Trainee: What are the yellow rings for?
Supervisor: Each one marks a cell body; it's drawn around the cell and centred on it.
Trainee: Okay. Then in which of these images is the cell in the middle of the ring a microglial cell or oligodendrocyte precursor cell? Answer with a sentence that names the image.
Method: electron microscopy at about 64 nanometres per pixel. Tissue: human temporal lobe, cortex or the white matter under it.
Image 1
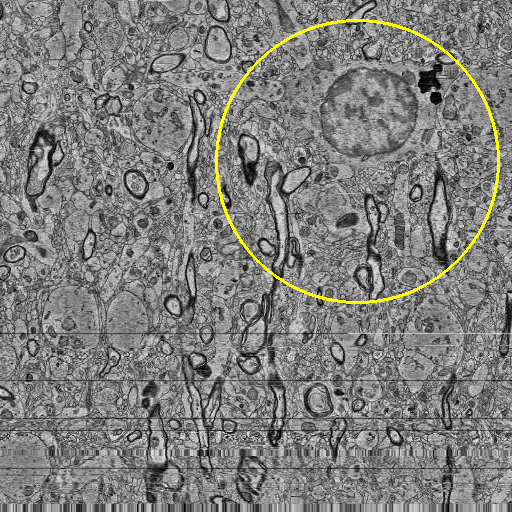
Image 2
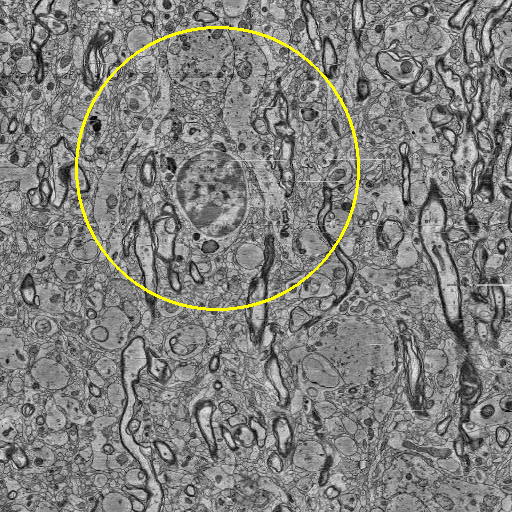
Image 2 has it in the middle of the ring.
